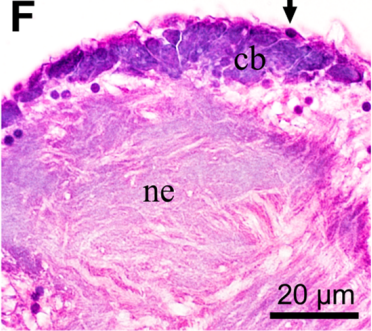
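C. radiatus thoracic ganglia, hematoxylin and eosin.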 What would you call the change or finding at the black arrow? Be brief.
Pyknotic nucleus.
